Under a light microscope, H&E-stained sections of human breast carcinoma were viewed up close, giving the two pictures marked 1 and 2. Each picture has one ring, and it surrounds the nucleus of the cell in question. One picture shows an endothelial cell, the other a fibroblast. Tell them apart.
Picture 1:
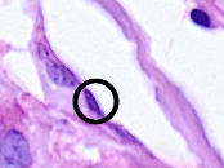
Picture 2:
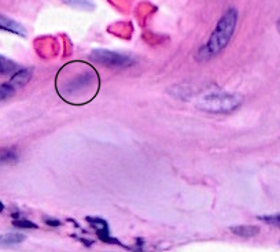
1: fibroblast
2: endothelial cell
